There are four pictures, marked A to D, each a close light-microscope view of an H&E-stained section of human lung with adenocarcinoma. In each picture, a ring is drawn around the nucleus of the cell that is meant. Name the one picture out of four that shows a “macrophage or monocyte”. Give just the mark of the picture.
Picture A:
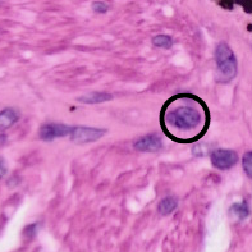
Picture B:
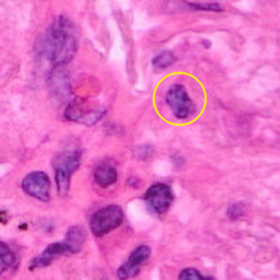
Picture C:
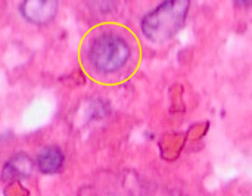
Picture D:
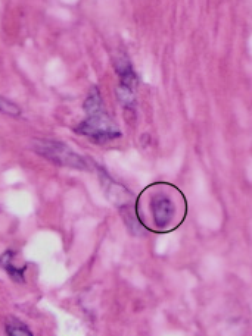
C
